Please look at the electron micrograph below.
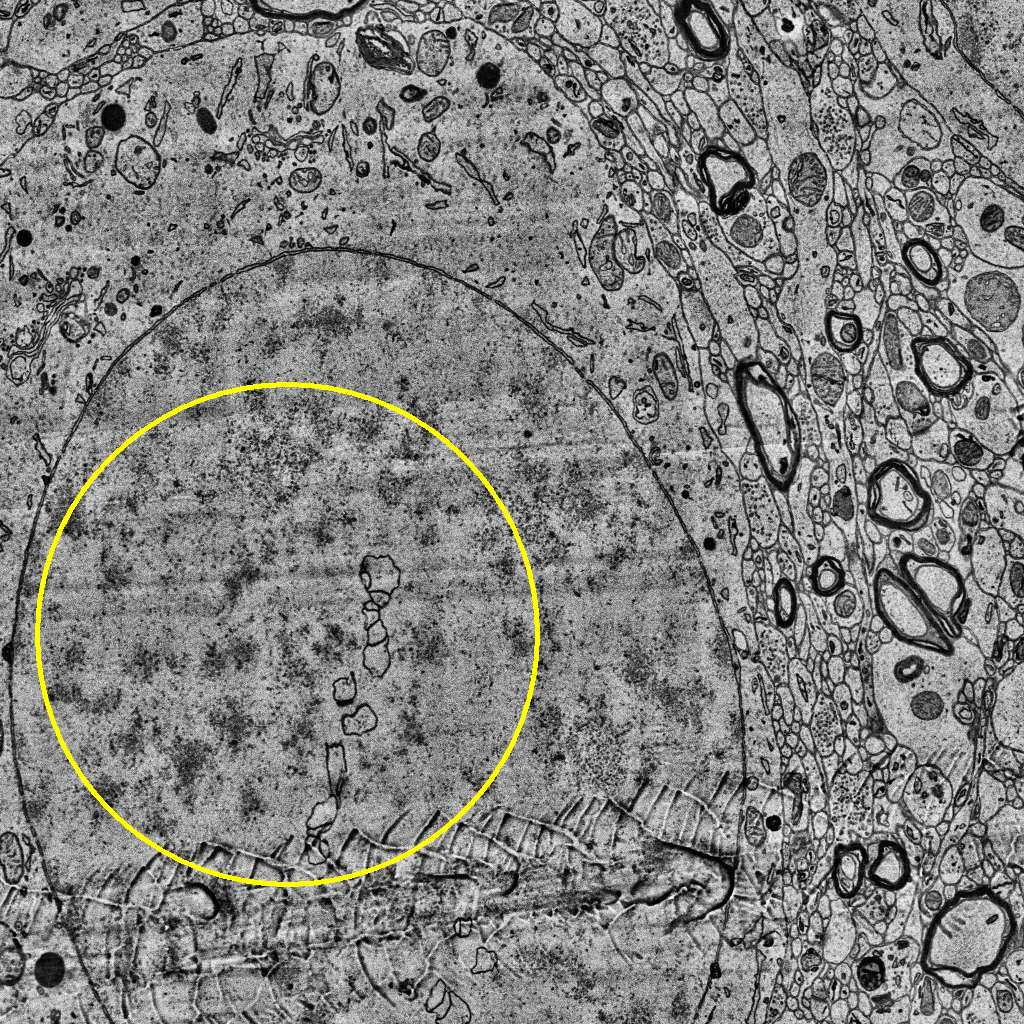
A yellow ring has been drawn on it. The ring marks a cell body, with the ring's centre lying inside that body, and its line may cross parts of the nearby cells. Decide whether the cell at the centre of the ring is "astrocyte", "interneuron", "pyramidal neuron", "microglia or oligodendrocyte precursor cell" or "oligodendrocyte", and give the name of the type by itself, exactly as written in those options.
pyramidal neuron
